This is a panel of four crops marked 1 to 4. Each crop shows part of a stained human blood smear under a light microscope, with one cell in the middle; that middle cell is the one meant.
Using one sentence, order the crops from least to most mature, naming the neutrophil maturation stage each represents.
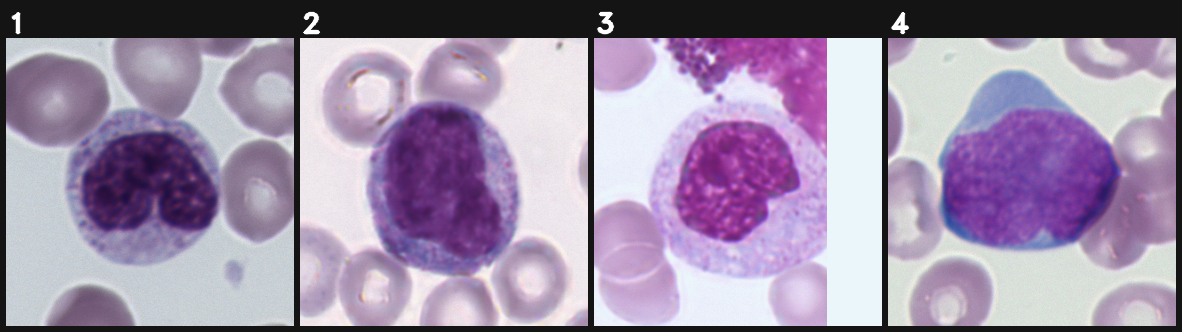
Arranging the cells from least to most mature gives crop 4 (a myeloblast), crop 2 (a promyelocyte), crop 3 (a metamyelocyte) and crop 1 (a band neutrophil).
